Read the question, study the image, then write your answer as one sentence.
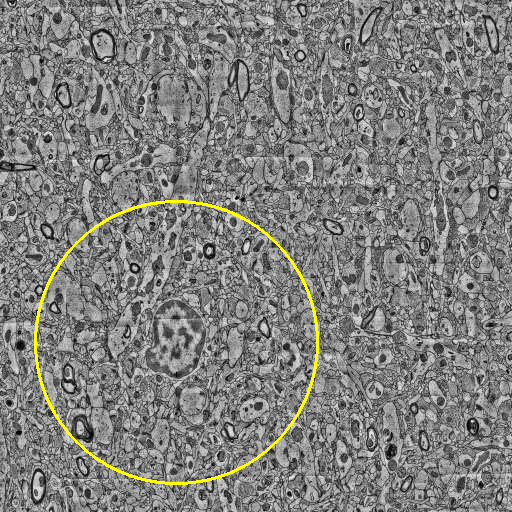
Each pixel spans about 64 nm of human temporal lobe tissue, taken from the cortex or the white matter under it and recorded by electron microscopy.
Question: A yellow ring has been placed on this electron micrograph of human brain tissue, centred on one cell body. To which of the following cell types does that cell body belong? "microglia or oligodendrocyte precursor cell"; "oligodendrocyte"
That cell body belongs to a microglial cell or oligodendrocyte precursor cell.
